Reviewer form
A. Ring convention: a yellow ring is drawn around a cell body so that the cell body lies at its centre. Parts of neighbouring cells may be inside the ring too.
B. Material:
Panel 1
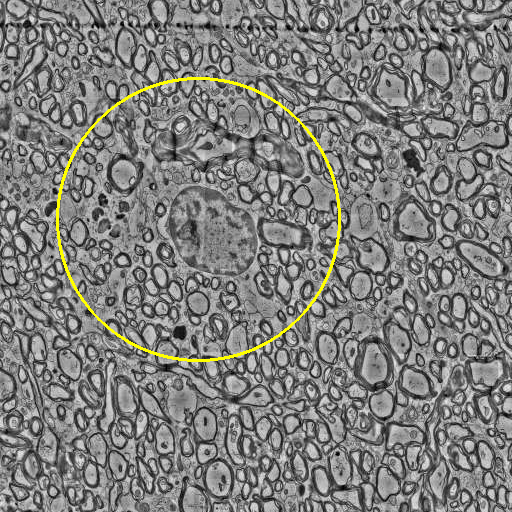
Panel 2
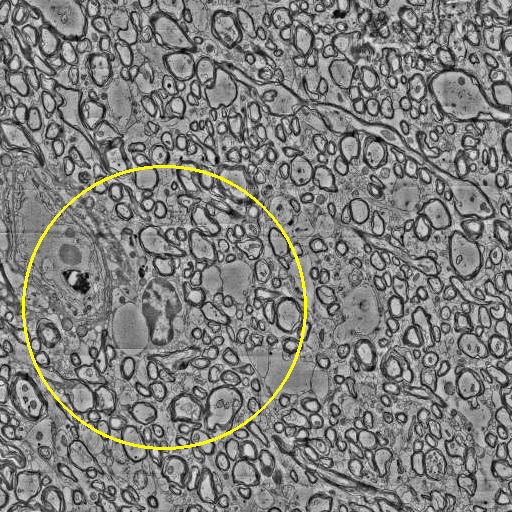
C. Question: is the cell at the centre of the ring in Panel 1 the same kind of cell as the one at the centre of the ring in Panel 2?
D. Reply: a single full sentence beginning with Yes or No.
Yes, the cells in Panel 1 and Panel 2 are the same kind of cell.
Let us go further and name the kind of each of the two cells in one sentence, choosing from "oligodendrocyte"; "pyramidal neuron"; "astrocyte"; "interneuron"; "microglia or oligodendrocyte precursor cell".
Each of the ringed cells, first and second, is a microglial cell or oligodendrocyte precursor cell.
